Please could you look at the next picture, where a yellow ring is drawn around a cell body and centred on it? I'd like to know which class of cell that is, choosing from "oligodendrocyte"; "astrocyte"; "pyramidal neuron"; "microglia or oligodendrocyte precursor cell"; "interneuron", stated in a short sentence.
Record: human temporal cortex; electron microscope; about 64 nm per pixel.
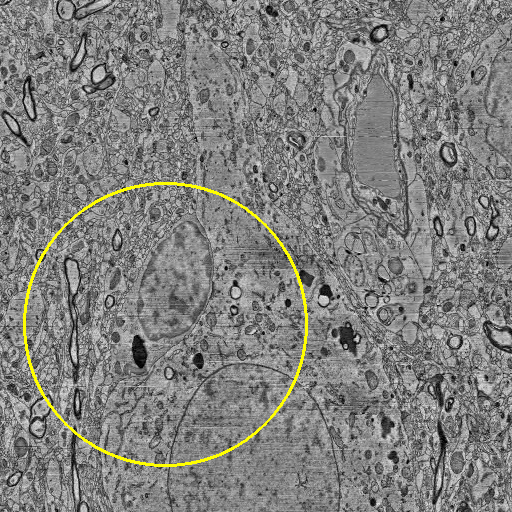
The ring's centre lies on an oligodendrocyte.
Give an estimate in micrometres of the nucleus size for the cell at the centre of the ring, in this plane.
In this plane the nucleus is about 8 micrometres by 5.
